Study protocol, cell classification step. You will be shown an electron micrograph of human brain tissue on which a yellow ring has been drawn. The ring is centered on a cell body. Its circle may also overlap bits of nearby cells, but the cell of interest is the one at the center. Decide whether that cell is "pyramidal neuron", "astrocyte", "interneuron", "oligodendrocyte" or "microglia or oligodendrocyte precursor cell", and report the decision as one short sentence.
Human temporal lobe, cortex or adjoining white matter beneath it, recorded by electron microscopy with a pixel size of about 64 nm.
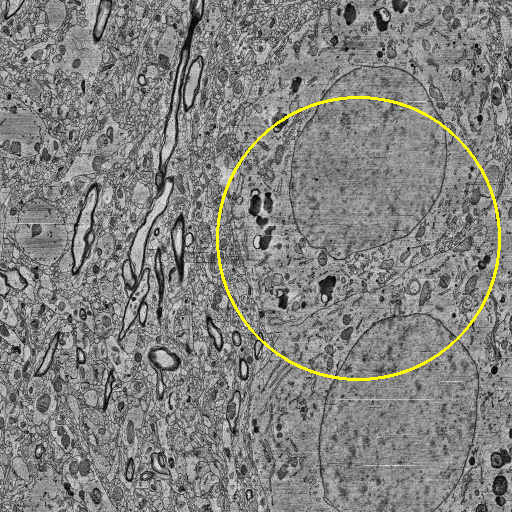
The marked cell is a pyramidal neuron.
